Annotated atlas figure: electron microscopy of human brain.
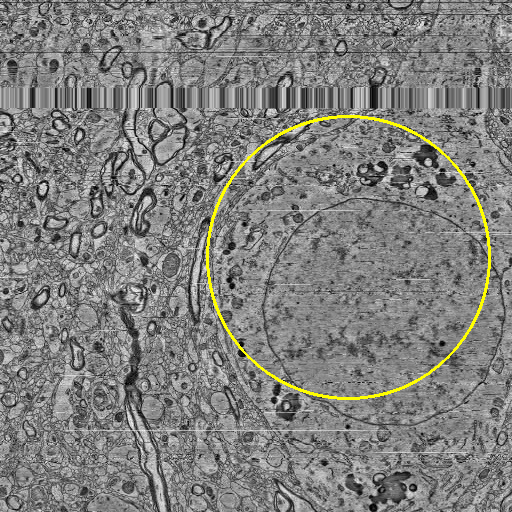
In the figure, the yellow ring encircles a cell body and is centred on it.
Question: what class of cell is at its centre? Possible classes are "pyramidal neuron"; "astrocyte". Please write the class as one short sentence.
The yellow ring is drawn around a pyramidal neuron.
